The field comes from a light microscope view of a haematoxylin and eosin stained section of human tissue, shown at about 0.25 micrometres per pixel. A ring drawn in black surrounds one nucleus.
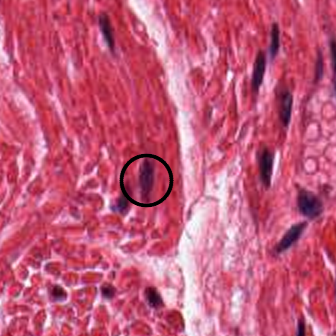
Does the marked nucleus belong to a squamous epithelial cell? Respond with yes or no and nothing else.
no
